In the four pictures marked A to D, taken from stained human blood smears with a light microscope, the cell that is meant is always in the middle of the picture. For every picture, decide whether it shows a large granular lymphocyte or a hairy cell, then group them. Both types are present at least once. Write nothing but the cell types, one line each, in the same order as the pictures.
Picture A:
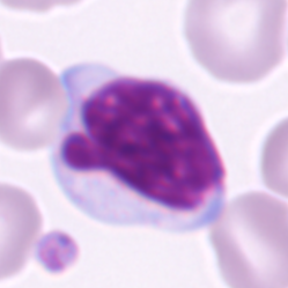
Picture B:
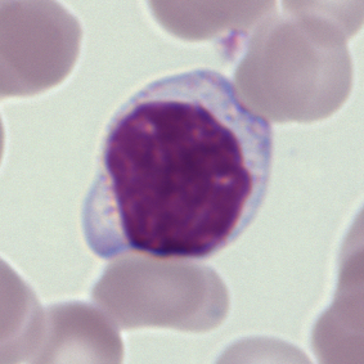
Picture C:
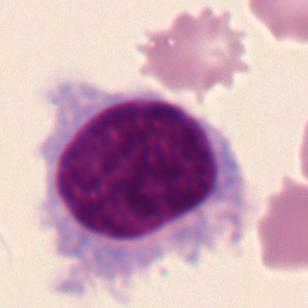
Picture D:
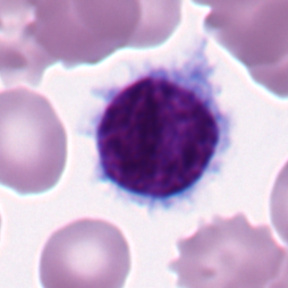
large granular lymphocyte
large granular lymphocyte
hairy cell
hairy cell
